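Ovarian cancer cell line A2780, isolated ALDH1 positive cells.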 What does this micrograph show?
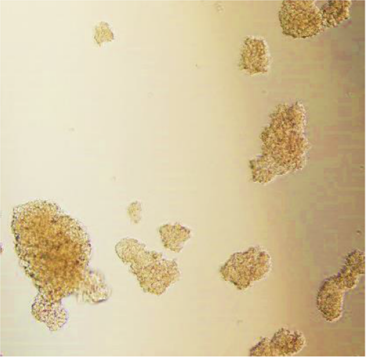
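The spheroids range from small clumps of a few cells to large masses with irregular, lobulated outlines. Each spheroid is dense and granular, with tightly packed rounded cells that appear pale brown. The larger masses are darker in the centre, and the spaces between the spheroids are clear and contain almost no single cells.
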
